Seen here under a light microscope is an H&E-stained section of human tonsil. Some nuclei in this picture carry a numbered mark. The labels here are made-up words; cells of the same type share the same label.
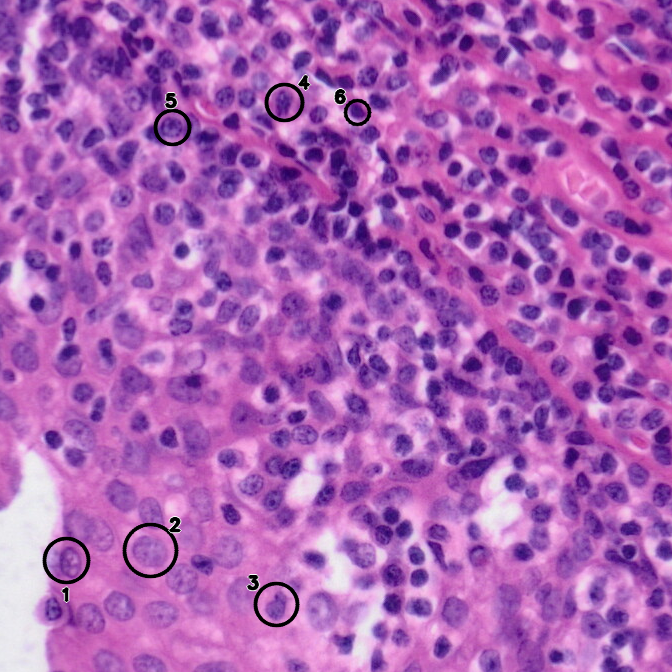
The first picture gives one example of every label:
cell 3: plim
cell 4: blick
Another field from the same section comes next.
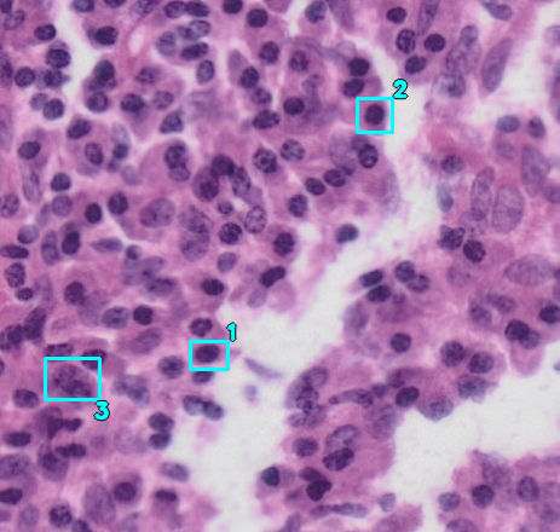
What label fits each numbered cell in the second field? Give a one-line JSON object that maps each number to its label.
{"1": "blick", "2": "blick", "3": "plim"}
